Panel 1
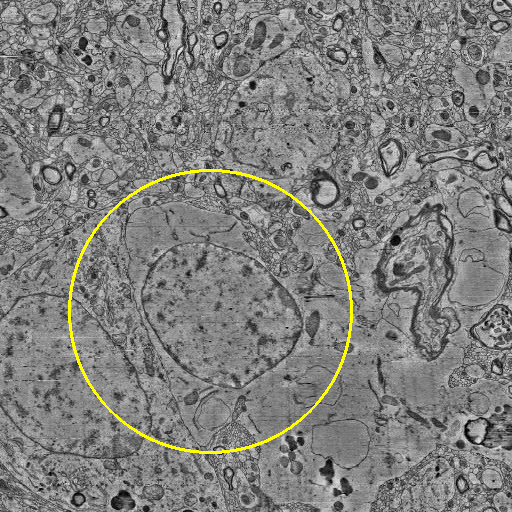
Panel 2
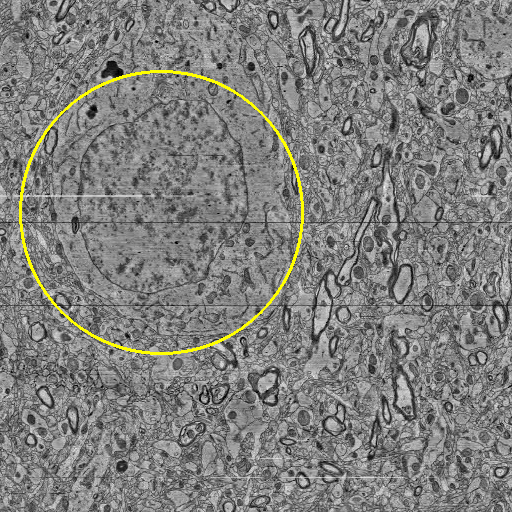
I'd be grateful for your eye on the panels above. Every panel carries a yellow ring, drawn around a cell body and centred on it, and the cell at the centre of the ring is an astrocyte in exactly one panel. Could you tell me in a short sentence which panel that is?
Panel 1 is the one with it at the centre of the ring.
